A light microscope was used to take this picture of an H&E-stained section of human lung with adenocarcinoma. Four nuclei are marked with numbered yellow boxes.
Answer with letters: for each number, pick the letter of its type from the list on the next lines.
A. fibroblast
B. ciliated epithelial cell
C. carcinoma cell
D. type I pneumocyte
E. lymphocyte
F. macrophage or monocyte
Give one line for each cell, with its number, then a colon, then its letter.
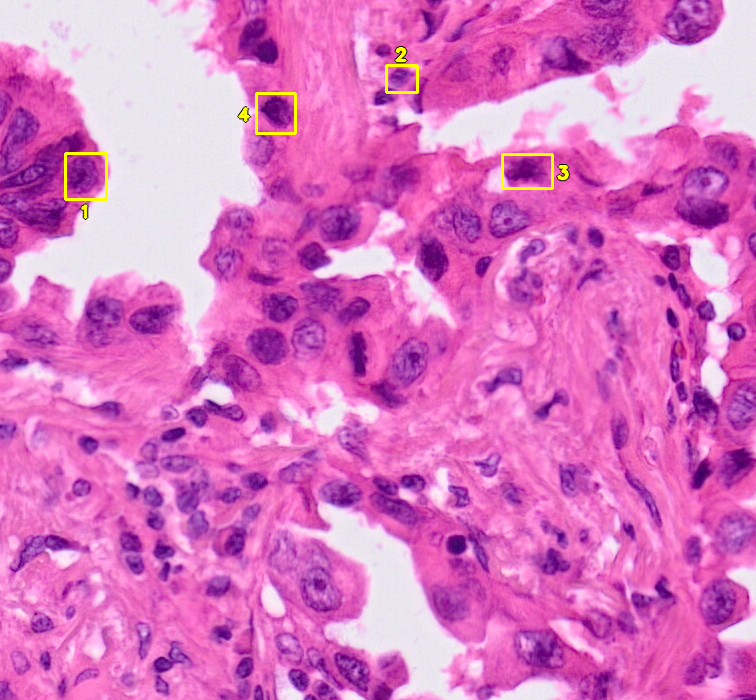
1: C
2: E
3: C
4: C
